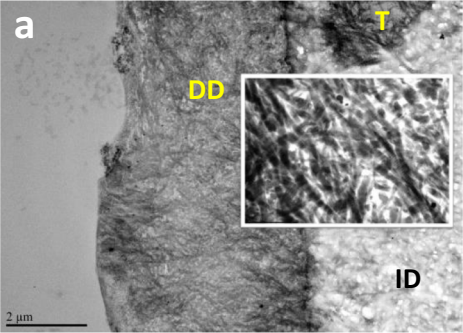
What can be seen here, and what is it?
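A band of demineralized dentin several micrometres thick lies on top of paler, granular intact dentin. The demineralized layer is made of a fine fibrillar meshwork, and the inset shows densely interwoven fibrils running in many directions.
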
